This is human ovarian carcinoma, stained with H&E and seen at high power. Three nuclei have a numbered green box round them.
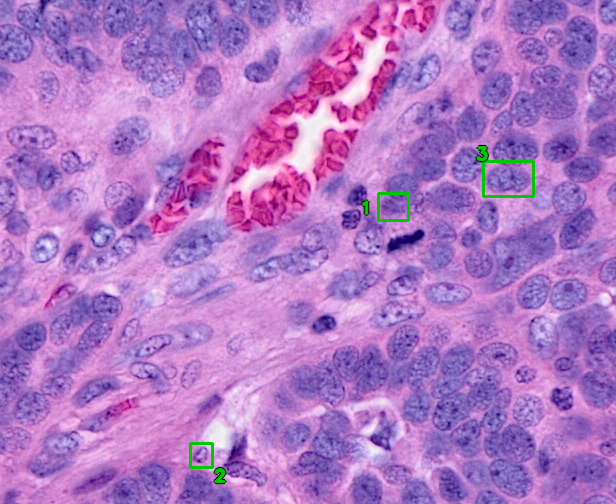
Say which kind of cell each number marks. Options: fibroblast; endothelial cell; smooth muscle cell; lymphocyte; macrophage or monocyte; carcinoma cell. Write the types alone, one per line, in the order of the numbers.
carcinoma cell
macrophage or monocyte
carcinoma cell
